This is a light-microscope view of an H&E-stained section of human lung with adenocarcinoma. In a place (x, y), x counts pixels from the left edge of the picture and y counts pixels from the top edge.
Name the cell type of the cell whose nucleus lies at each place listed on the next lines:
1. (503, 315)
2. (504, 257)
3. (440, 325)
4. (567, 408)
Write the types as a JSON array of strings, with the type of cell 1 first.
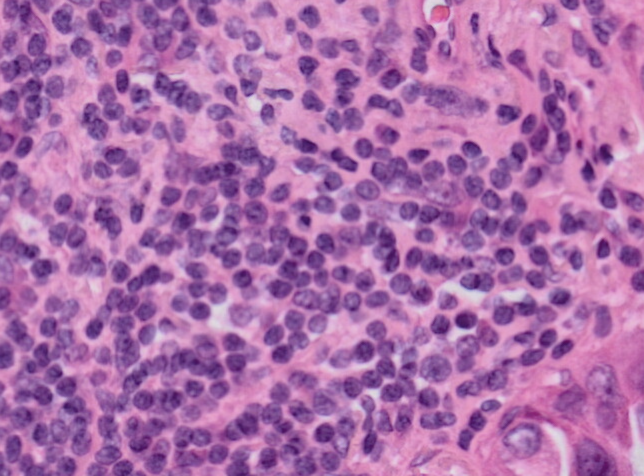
["lymphocyte", "lymphocyte", "lymphocyte", "carcinoma cell"]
